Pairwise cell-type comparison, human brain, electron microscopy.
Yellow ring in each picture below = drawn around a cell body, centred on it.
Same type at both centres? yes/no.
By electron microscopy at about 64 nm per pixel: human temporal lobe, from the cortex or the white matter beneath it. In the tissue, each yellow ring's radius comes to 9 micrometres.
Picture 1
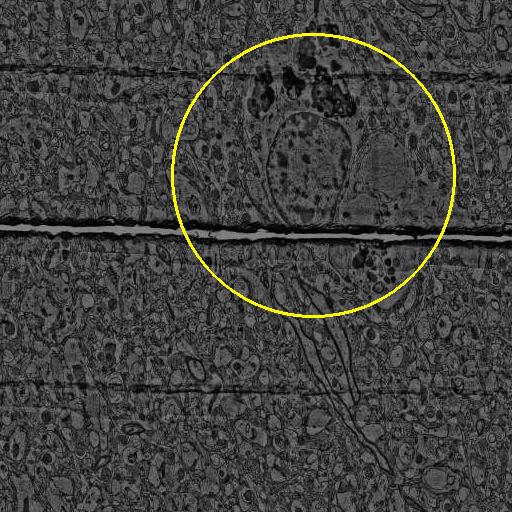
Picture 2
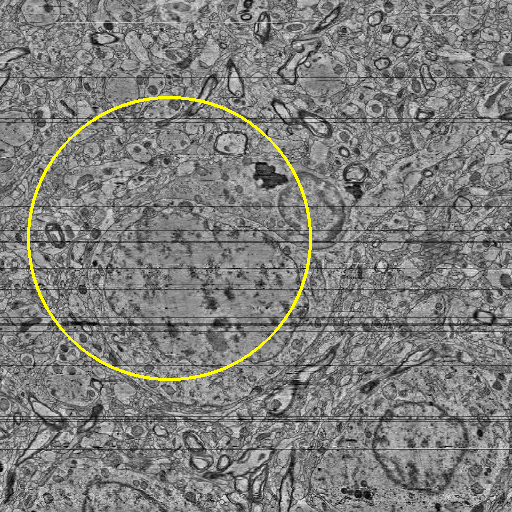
no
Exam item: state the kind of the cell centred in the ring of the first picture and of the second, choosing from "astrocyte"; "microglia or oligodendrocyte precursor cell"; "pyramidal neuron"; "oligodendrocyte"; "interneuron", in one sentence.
The first picture shows an astrocyte at the ring centre and the second shows a pyramidal neuron.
